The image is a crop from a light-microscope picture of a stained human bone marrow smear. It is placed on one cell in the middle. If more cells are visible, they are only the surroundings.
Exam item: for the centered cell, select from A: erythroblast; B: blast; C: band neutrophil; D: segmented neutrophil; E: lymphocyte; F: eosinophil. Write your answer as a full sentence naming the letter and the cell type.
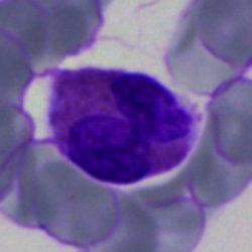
The right choice is option F: the cell in the middle is an eosinophil.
